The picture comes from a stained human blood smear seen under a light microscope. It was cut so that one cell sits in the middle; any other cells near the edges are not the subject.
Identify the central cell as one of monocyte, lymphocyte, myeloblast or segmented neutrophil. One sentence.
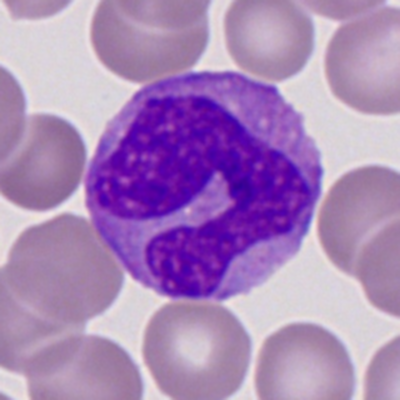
The cell centred in this crop is categorized as a monocyte.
